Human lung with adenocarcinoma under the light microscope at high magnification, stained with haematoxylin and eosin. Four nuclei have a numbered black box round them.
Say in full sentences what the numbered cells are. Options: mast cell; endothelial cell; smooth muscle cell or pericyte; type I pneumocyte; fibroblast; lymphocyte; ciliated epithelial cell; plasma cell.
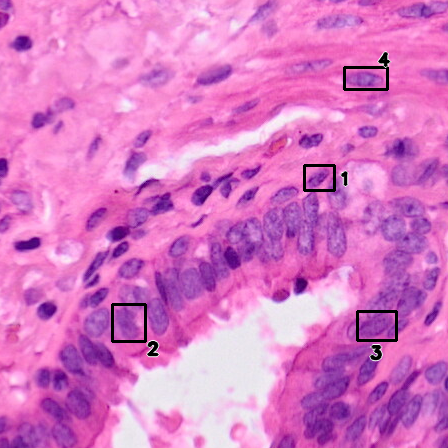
Cell 1 is a ciliated epithelial cell, cell 2 is a ciliated epithelial cell, cell 3 is a ciliated epithelial cell and cell 4 is a smooth muscle cell or pericyte.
